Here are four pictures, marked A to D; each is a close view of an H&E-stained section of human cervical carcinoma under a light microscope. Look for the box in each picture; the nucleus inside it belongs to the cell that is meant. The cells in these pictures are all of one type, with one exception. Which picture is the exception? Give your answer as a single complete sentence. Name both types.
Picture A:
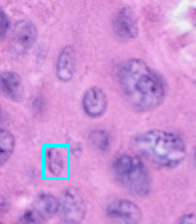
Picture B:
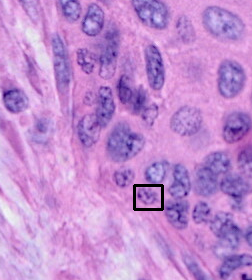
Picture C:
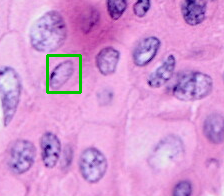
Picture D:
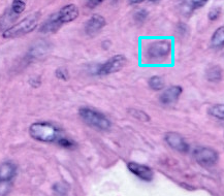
All pictures except D show squamous carcinoma cells; picture D shows a smooth muscle cell.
